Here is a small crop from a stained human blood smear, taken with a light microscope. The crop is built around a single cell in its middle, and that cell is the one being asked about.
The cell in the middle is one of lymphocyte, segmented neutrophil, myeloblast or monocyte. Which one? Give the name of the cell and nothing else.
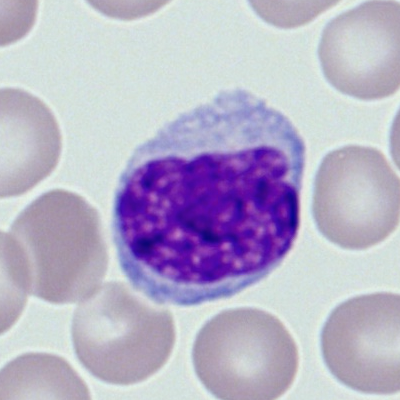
monocyte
